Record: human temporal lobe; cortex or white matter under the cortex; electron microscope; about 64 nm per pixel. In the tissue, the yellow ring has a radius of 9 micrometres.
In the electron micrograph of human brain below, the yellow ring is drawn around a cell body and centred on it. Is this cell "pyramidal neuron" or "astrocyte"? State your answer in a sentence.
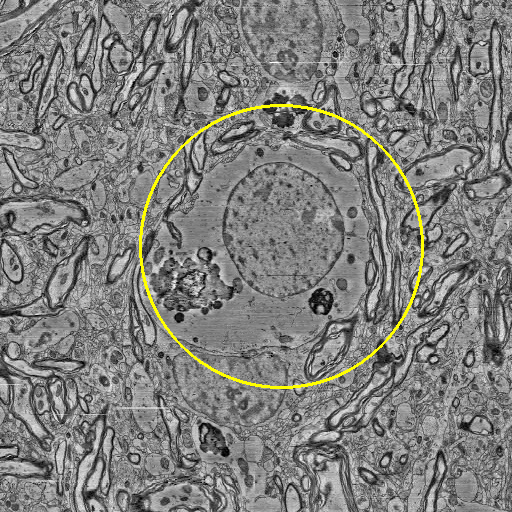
The cell in the middle of the ring is an astrocyte.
